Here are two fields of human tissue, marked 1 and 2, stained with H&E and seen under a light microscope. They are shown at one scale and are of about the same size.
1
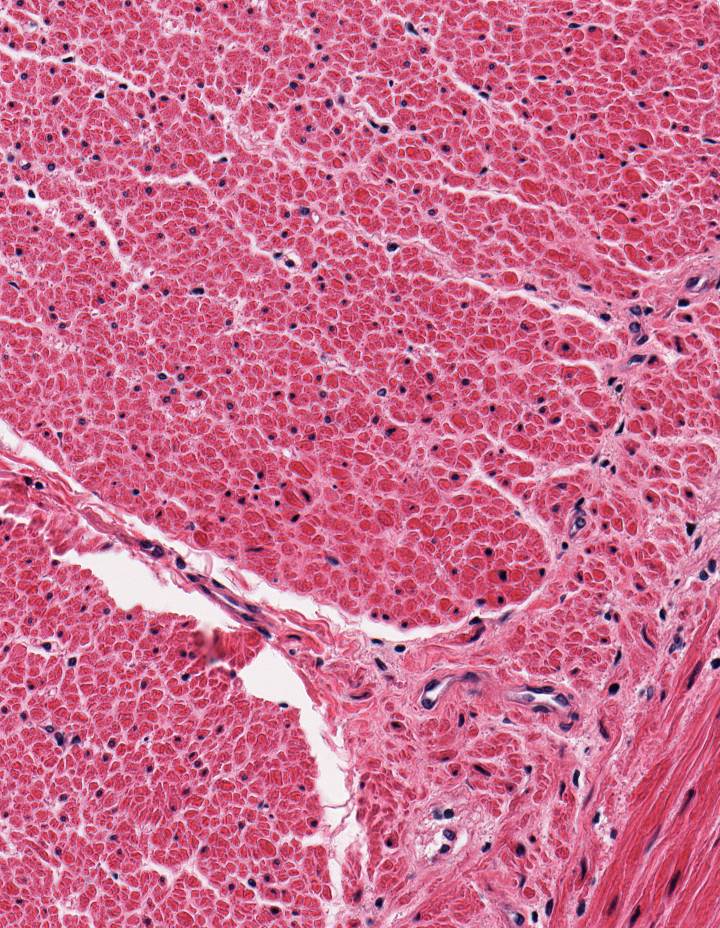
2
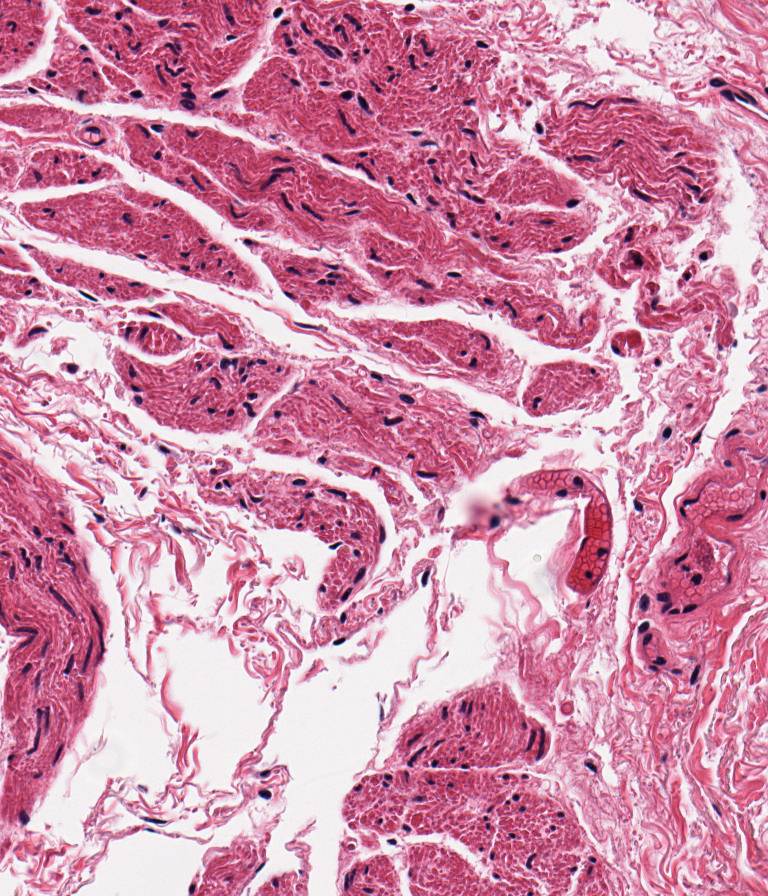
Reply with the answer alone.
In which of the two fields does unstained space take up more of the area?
2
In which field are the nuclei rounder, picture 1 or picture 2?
1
